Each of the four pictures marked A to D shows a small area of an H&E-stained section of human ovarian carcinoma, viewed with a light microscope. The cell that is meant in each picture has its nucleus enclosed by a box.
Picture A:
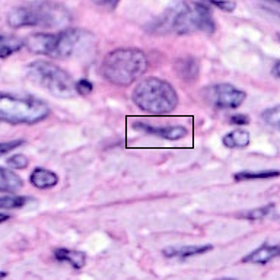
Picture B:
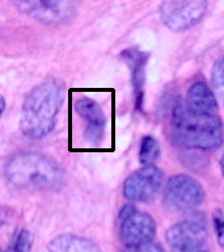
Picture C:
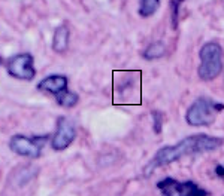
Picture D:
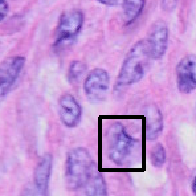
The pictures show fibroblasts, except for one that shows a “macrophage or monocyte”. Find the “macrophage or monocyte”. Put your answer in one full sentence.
It is picture B that shows the “macrophage or monocyte”.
